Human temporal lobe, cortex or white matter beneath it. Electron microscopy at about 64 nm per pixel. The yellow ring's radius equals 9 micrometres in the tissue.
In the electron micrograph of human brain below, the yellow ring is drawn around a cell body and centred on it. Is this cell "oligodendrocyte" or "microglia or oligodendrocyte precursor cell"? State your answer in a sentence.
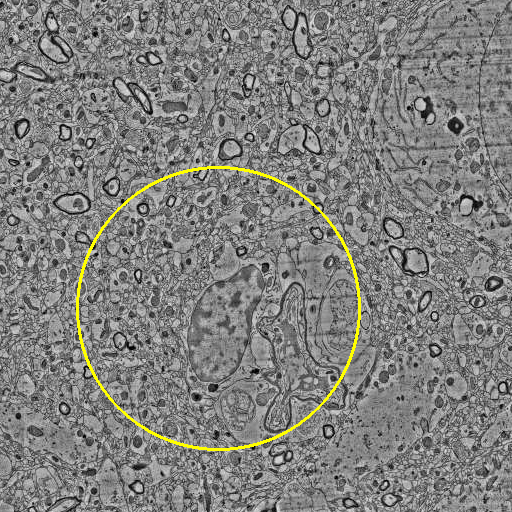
The cell in the middle of the ring is a microglial cell or oligodendrocyte precursor cell.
